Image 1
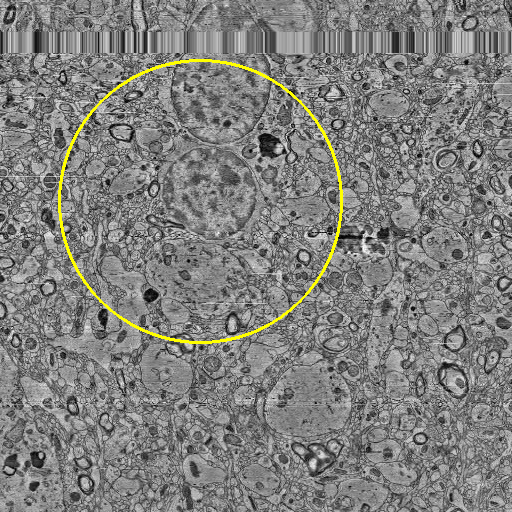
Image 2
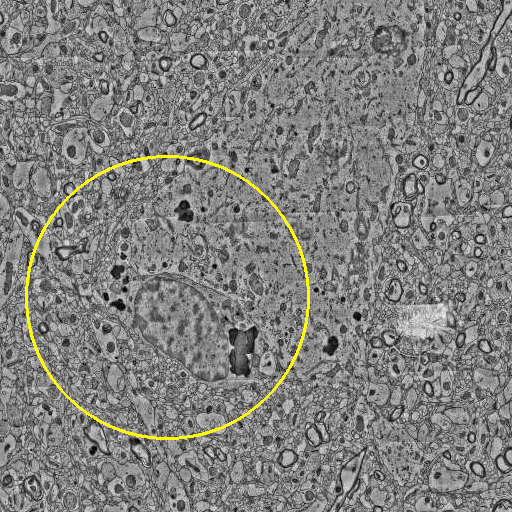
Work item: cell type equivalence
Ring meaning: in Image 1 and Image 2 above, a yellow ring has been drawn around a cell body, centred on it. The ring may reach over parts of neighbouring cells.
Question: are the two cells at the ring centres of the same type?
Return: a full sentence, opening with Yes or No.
Yes, the two centred cells are of the same type.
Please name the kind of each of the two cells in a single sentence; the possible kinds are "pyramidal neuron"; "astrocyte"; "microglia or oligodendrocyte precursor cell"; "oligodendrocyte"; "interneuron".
In both pictures the ring is centred on an oligodendrocyte.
